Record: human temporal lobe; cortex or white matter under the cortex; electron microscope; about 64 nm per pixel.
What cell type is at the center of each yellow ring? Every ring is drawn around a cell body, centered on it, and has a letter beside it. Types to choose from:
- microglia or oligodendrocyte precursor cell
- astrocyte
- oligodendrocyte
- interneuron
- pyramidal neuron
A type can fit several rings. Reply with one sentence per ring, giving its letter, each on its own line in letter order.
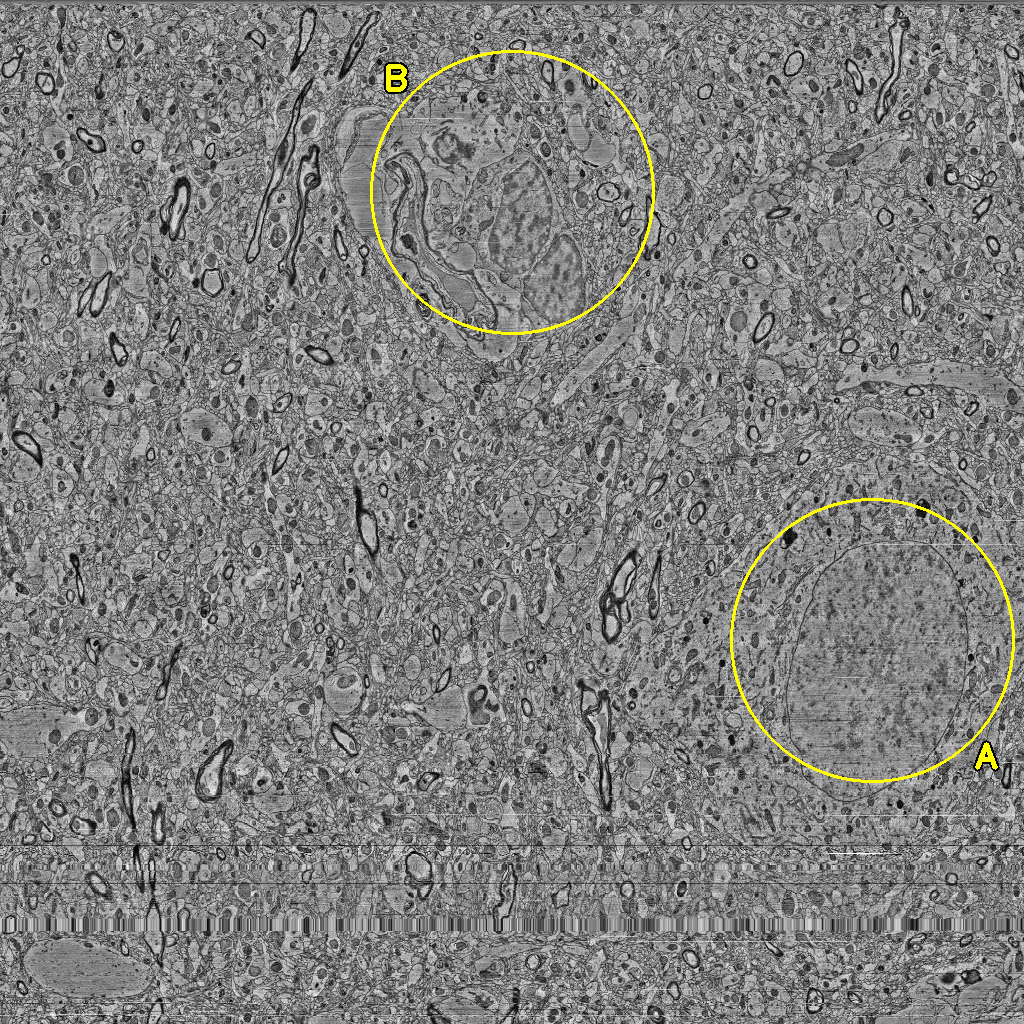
Ring A is placed around a pyramidal neuron.
Ring B is placed around an oligodendrocyte.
